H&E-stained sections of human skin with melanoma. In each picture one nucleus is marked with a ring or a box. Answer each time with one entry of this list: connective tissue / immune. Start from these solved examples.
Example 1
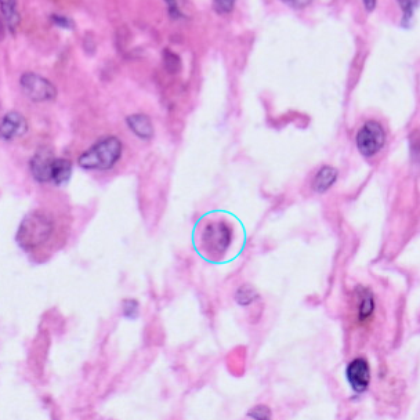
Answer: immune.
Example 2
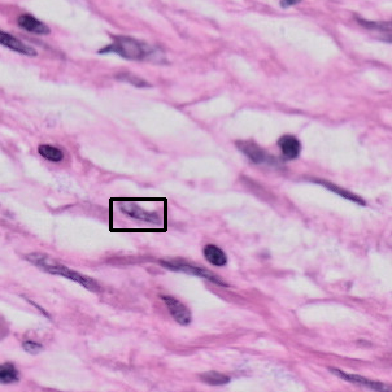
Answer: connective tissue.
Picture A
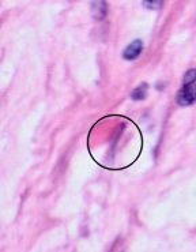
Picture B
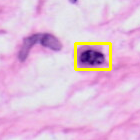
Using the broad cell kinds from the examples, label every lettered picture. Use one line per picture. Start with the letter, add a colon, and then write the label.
A: connective tissue.
B: immune.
